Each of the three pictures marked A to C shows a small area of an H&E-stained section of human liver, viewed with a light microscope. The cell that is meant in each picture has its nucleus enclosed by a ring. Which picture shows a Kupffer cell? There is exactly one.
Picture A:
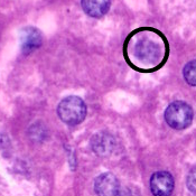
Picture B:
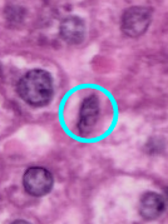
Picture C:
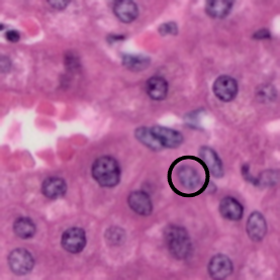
B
